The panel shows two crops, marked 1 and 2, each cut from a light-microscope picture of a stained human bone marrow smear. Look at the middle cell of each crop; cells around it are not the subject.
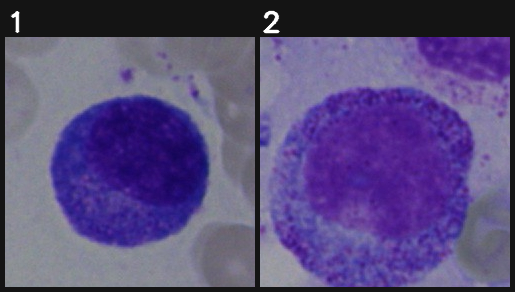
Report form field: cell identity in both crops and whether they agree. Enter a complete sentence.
Yes, the pair of crops both show promyelocytes.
